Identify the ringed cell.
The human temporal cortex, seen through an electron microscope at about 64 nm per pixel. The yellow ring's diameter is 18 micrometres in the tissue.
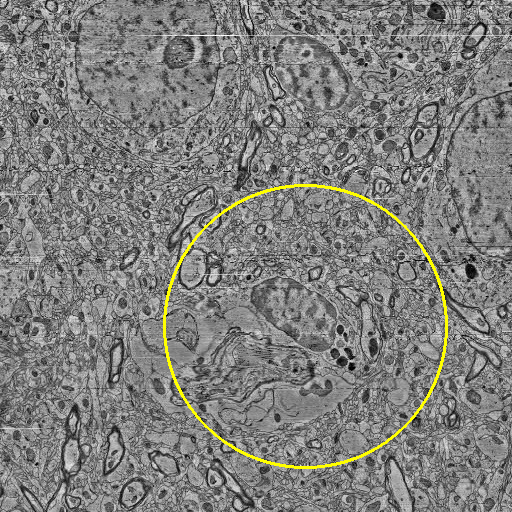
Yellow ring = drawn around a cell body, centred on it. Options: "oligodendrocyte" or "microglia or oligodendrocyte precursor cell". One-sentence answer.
What the ring is centred on is a microglial cell or oligodendrocyte precursor cell.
